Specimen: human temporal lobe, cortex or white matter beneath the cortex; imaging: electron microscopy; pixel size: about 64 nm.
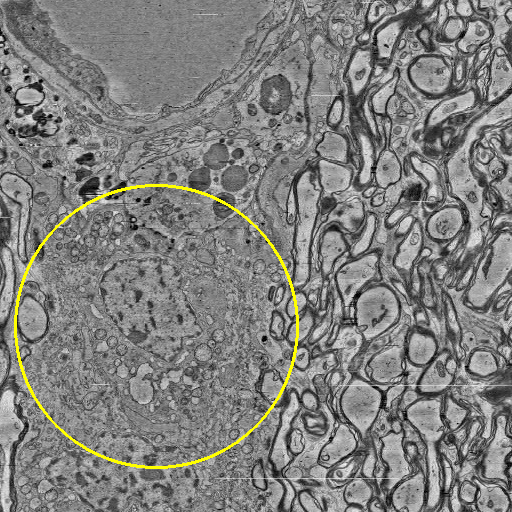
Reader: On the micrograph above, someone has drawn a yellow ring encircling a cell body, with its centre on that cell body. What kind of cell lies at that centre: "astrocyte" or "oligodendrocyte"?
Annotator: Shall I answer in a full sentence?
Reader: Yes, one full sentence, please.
Here an astrocyte sits at the centre of the yellow ring drawn on the micrograph.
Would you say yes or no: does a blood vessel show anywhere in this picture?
Yes, one shows.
